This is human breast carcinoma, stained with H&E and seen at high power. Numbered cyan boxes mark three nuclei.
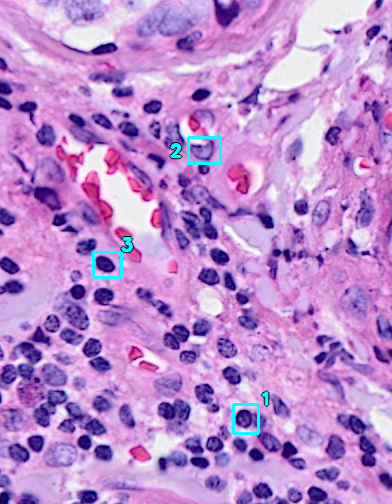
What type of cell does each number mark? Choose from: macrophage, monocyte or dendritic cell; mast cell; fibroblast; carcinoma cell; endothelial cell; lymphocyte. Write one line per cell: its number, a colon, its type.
1: lymphocyte
2: endothelial cell
3: lymphocyte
